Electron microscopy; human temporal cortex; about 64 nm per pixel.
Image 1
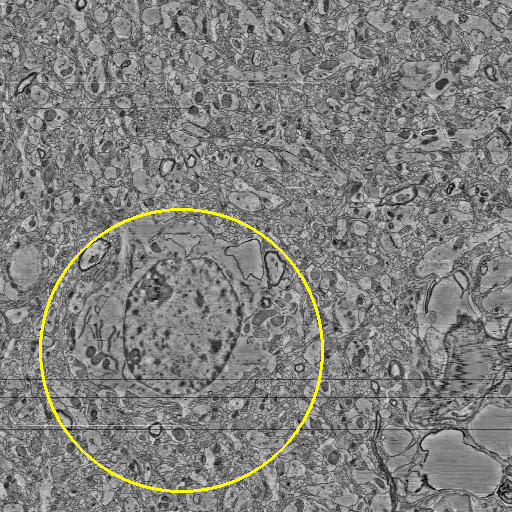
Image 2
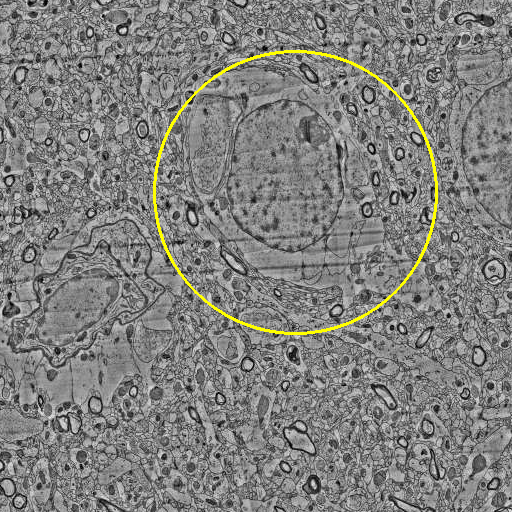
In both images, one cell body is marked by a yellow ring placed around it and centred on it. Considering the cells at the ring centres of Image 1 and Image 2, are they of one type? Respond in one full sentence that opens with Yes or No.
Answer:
Yes, a single type applies to the ring-centred cells of both Image 1 and Image 2.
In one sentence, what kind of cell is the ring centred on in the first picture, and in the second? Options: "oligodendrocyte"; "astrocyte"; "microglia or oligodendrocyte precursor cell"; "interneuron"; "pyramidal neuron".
Each cell at the centre of a ring is an astrocyte.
